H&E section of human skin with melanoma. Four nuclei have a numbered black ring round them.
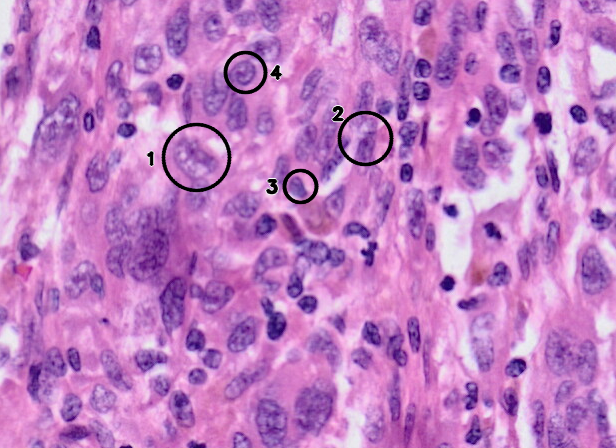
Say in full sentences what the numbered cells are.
Cell 1 is a melanoma cell, cell 2 is a melanoma cell, cell 3 is a lymphocyte and cell 4 is a melanoma cell.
